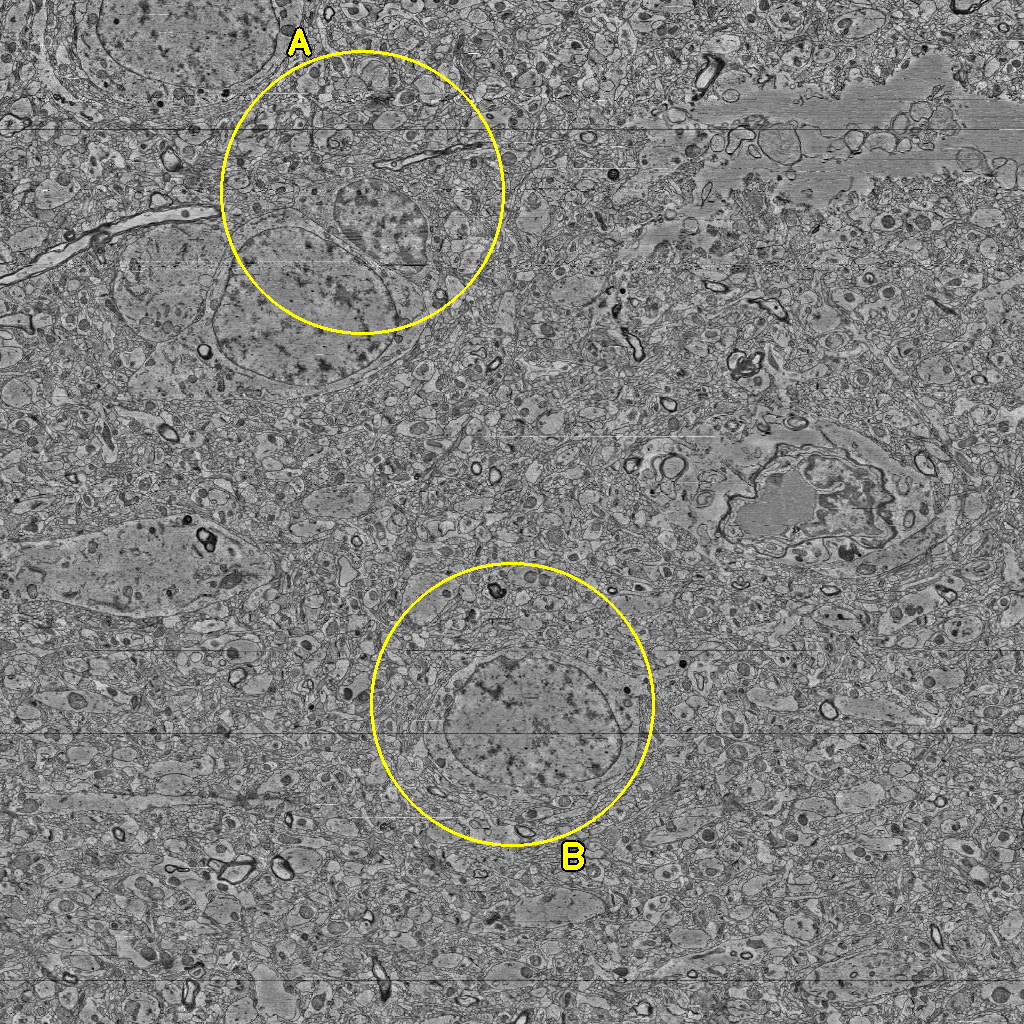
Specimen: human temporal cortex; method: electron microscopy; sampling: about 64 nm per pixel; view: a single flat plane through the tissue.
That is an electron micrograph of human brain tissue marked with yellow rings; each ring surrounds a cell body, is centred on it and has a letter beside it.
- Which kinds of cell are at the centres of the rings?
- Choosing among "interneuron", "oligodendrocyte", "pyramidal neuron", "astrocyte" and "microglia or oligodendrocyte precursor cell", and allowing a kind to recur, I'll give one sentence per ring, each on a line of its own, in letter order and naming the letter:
Ring A sits around an oligodendrocyte.
Ring B sits around a pyramidal neuron.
